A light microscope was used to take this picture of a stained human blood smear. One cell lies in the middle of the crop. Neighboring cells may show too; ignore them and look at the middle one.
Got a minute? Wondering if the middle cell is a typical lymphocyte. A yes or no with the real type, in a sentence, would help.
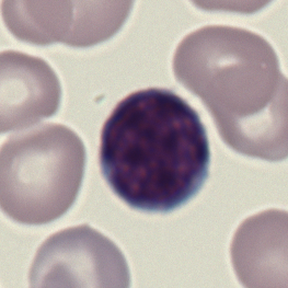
Yes, the cell of interest in the centre is a typical lymphocyte.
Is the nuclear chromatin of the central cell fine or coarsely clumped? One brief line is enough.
The chromatin pattern here is coarse and clumped.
